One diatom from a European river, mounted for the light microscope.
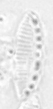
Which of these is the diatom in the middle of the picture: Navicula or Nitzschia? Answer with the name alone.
Nitzschia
